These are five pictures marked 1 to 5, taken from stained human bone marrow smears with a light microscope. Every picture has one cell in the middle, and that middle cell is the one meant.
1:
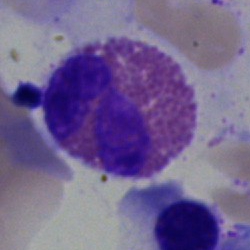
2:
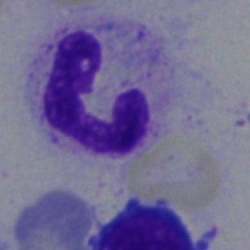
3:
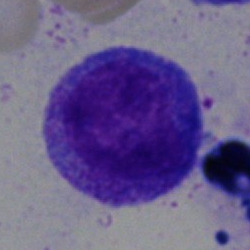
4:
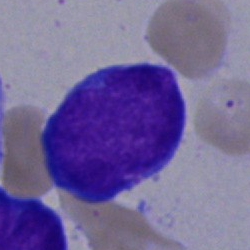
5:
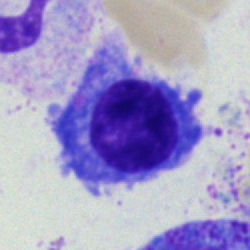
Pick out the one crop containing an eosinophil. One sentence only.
The crop in which an eosinophil is shown is crop 1.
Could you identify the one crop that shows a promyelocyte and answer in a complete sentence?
The crop that shows a promyelocyte is crop 3.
